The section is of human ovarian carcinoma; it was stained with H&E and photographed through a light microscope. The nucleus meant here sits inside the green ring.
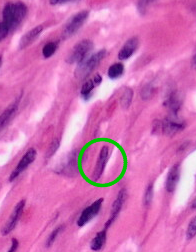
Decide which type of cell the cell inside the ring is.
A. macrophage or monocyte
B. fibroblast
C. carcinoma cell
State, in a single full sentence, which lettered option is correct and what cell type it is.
As the cell inside the ring is a fibroblast, the correct choice is option B.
